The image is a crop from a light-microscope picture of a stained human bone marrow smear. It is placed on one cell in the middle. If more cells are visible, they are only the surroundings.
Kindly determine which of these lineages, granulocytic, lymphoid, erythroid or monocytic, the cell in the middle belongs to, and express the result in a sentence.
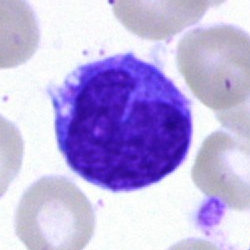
The cell centered in the crop is included in the monocytic lineage.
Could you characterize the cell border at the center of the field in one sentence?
The cell shows an uneven border, formed by ragged areas or by outward projections.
